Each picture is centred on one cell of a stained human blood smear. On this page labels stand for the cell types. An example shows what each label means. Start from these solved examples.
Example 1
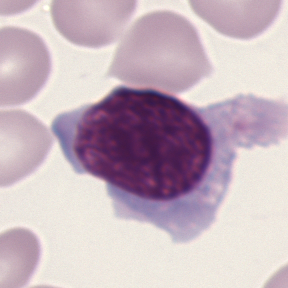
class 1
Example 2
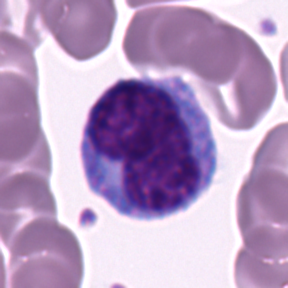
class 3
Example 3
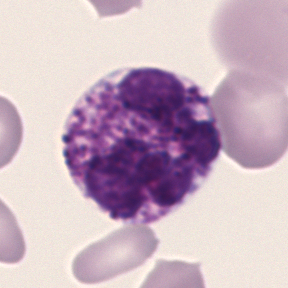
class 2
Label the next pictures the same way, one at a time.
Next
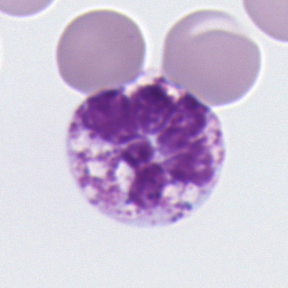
class 2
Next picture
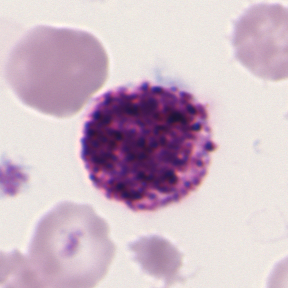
class 2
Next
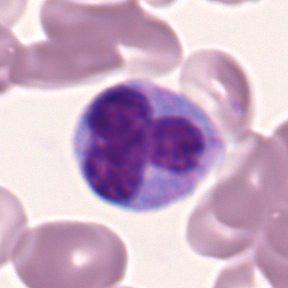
class 3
